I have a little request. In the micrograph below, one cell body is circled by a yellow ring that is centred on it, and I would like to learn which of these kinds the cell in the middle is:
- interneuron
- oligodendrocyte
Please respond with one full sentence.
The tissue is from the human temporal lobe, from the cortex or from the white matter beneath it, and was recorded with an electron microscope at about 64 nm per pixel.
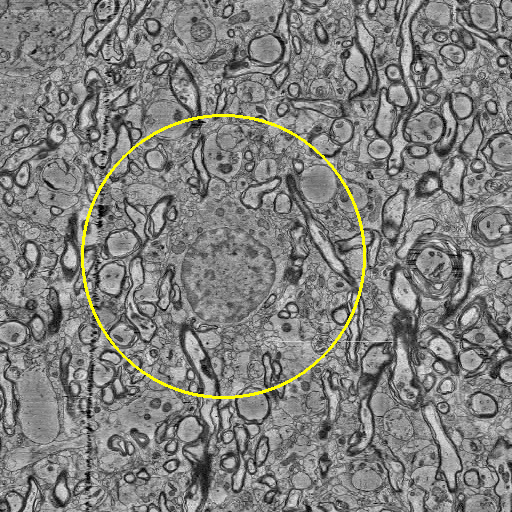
The cell sitting in the middle of the yellow ring in the micrograph is an oligodendrocyte.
